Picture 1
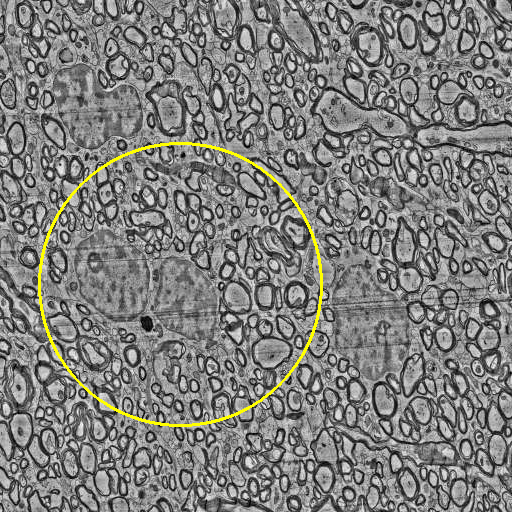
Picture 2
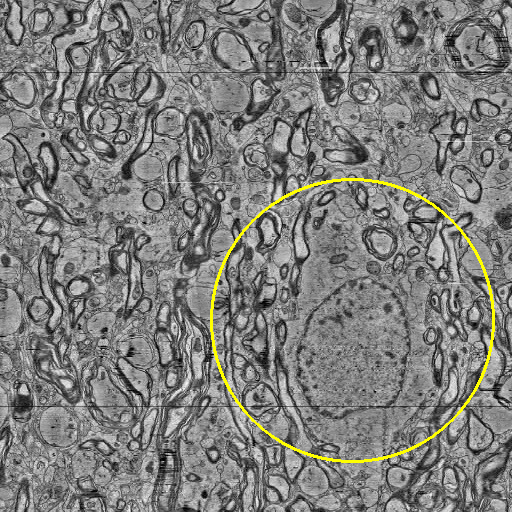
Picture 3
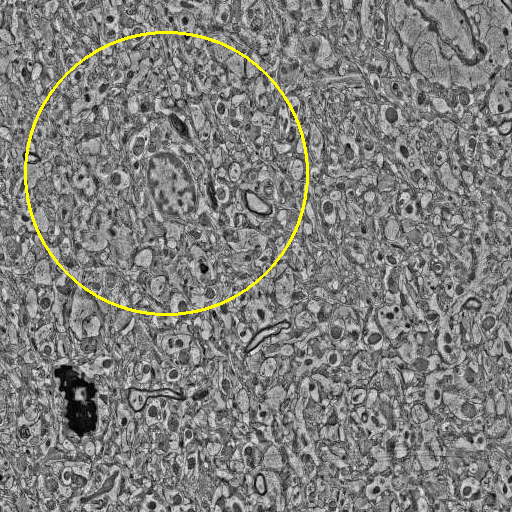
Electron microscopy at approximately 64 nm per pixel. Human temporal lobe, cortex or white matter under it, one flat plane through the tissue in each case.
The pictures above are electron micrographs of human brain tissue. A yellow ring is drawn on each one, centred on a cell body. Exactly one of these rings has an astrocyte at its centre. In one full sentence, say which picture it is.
Picture 2 has it at the centre of its ring.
